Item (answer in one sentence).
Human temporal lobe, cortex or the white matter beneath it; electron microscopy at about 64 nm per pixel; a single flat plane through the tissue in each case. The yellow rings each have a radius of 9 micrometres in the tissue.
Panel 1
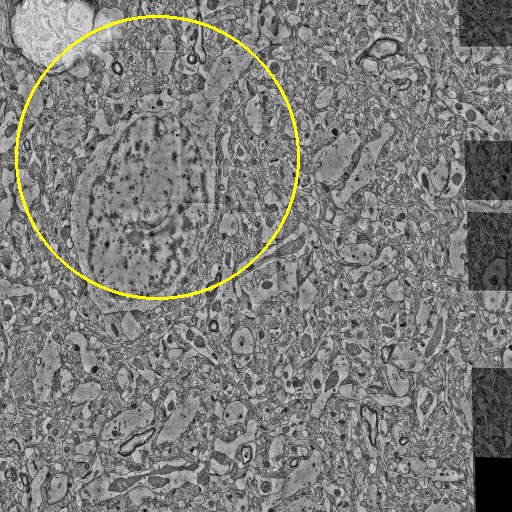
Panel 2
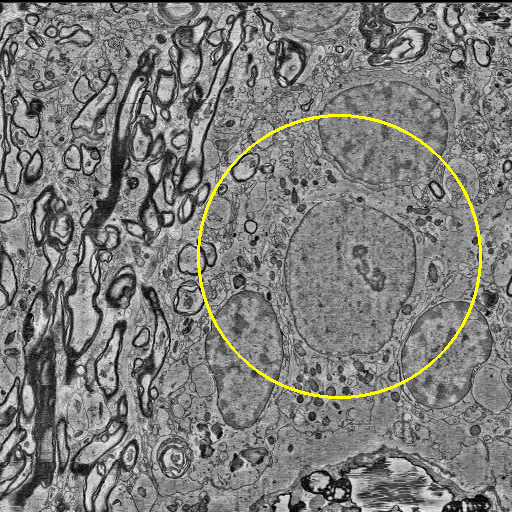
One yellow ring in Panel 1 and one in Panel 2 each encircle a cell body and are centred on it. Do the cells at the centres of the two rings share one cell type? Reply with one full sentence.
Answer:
No, Panel 1 and Panel 2 show cells of two types at the centres of their rings.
